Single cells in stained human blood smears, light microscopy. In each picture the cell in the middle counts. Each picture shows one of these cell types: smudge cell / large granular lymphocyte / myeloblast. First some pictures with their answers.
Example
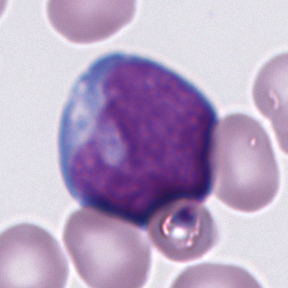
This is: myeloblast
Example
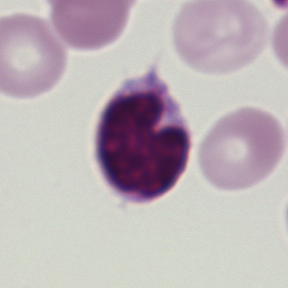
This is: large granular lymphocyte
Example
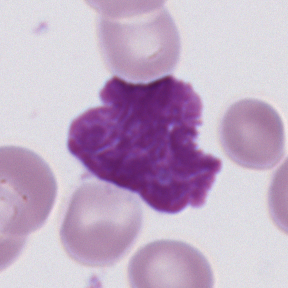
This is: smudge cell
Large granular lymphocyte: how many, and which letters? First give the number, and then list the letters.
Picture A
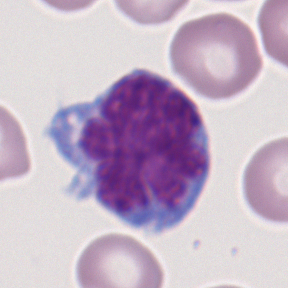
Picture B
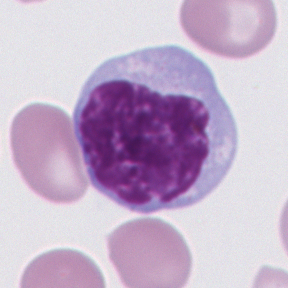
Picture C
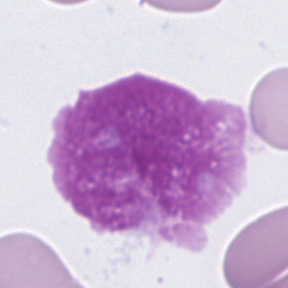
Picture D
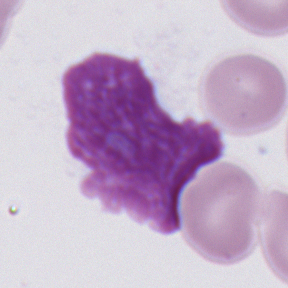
1: B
